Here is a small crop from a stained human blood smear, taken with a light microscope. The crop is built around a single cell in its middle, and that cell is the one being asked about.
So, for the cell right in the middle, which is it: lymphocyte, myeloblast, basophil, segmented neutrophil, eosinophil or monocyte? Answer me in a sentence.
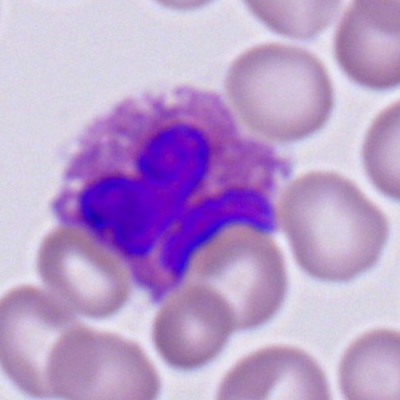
The single cell at the center of the crop is an eosinophil.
